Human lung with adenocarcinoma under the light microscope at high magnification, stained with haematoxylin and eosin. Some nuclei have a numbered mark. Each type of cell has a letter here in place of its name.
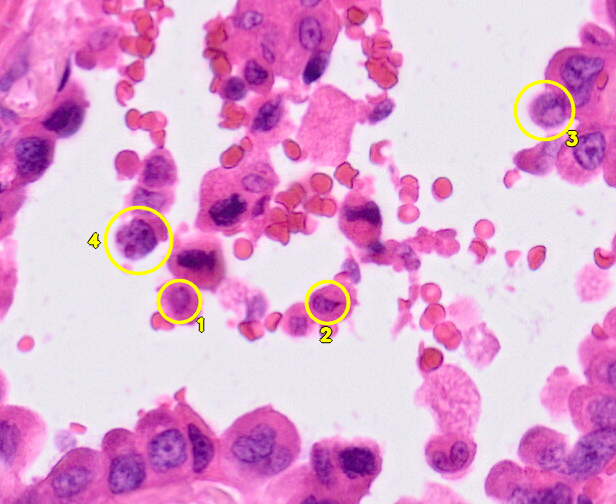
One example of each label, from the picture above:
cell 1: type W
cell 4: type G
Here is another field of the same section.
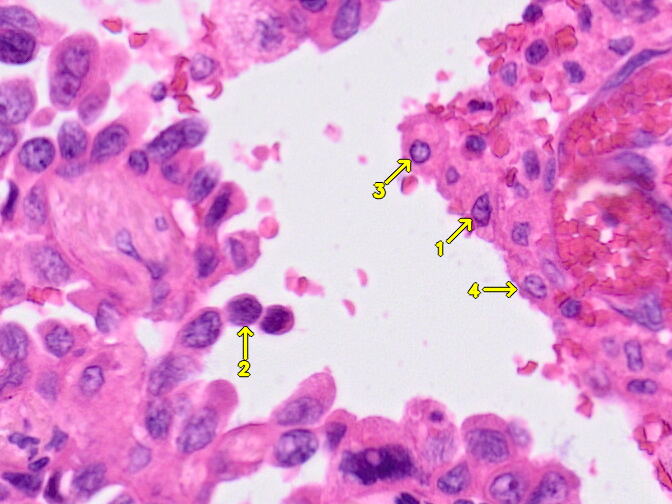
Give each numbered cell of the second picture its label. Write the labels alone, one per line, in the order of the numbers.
type W
type G
type W
type W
